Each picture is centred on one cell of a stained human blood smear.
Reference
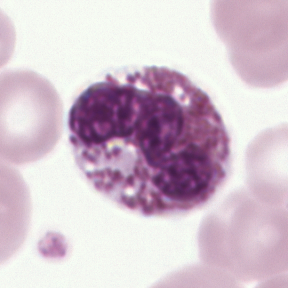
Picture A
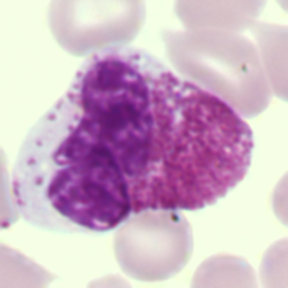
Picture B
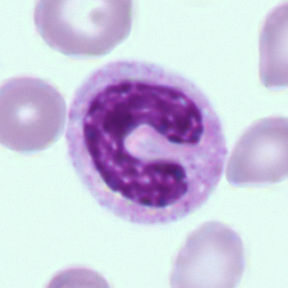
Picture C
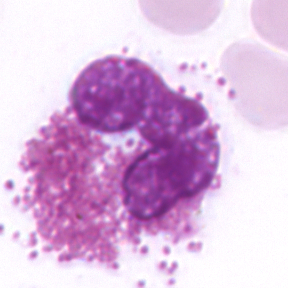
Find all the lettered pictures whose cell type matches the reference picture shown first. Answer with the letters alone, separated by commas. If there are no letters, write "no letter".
A, C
